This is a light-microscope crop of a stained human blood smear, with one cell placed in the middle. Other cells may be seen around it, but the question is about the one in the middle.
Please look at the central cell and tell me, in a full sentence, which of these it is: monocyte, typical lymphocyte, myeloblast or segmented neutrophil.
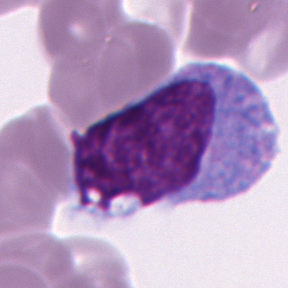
The cell marked by its central position in the crop is a monocyte.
